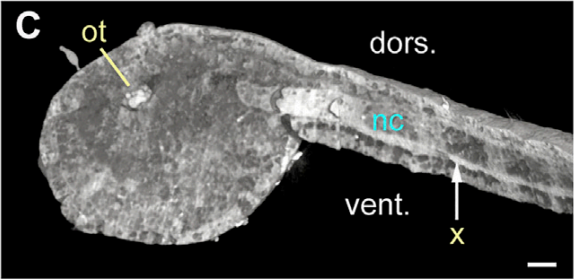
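This is a midsagittal section through an ascidian tadpole larva, showing the rounded trunk on the left and the base of the tail extending to the right. A small bright dense otolith lies dorsally in the trunk. In the tail the notochord runs lengthwise as a central rod, flanked by rows of cell profiles. Along the ventral side of the tail a thin, bright, high-density line runs in the midline, pointed to by the white arrow. The trunk interior is grainy and mottled, with many small dense particles.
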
